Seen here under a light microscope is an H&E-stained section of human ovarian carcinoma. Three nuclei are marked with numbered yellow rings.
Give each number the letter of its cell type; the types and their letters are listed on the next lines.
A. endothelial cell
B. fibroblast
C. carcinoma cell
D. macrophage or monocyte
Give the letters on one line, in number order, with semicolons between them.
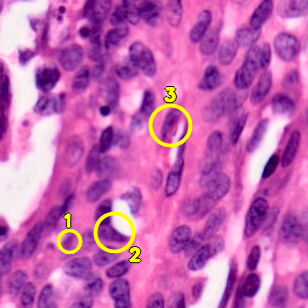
C; C; A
